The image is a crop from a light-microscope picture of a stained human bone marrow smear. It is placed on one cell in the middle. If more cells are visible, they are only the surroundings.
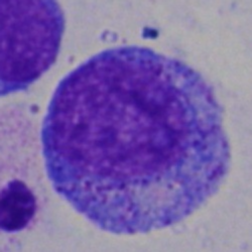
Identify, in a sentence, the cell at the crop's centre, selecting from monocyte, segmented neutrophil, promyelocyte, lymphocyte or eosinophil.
What sits at the centre of this crop is a promyelocyte.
